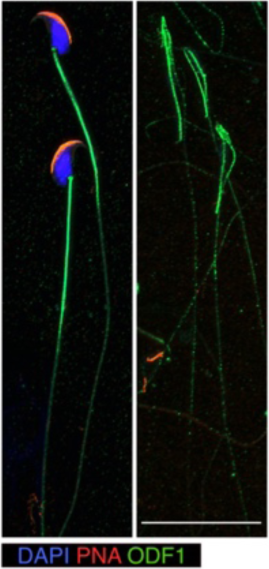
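On the left, two sperm have blue hooked heads capped on one edge by a red crescent-shaped acrosome, each continuing into a long green-stained flagellum. On the right, several green-stained tails run in parallel and show irregular thickenings and bends, while blue heads with red caps are not seen on them. Faint scattered green dots lie in the background.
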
